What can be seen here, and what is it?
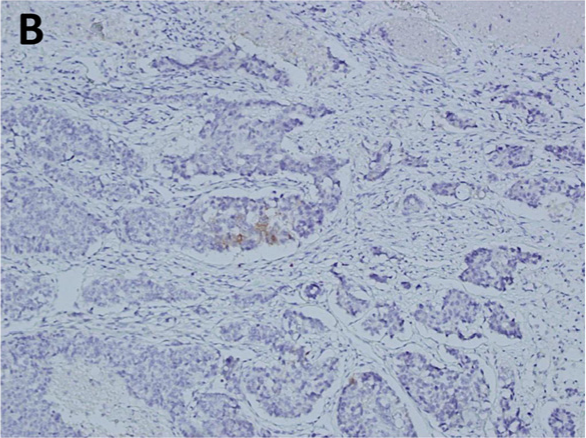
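Tumor cells are arranged in rounded nests and cords set in a loose fibrous stroma with spindle-shaped nuclei. The nests consist of crowded cells with round blue nuclei and scant pale cytoplasm. Only a faint brown tint appears in the cytoplasm of some cells, most clearly in one central nest.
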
